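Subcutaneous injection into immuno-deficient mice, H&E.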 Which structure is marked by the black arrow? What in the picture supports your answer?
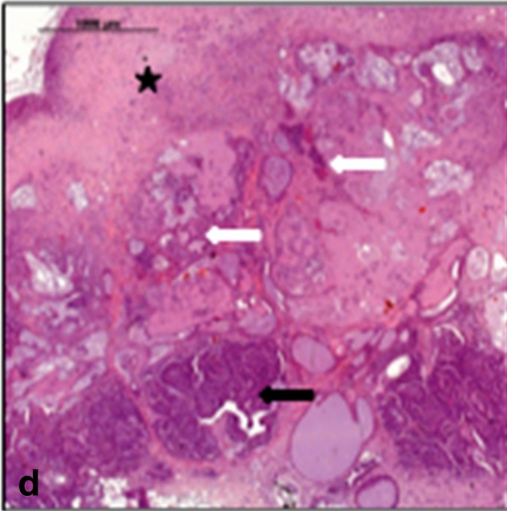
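Ectodermal neural tube formation. The arrow points into a dense, dark purple, cell-rich area. A narrow winding lumen runs through the dense purple tissue.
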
